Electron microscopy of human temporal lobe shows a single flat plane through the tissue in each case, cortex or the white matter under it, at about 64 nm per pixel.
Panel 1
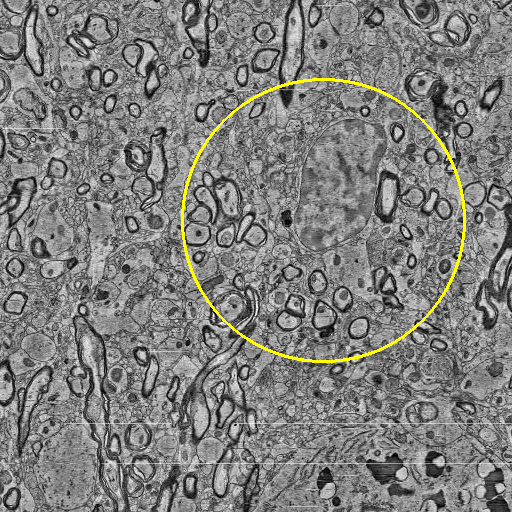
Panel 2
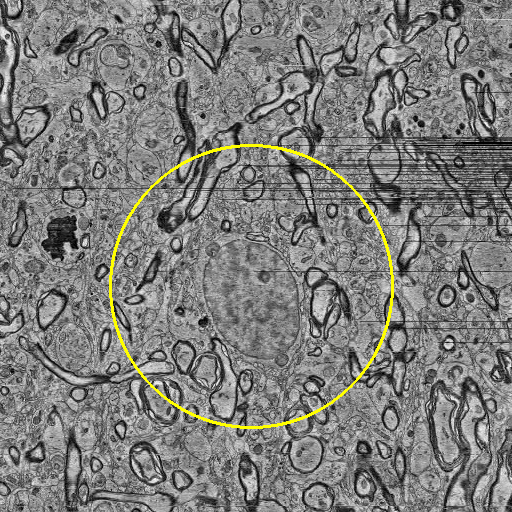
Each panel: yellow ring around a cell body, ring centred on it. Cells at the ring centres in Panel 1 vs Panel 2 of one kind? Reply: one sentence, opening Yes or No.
No, Panel 1 and Panel 2 have cells of two kinds at the ring centres.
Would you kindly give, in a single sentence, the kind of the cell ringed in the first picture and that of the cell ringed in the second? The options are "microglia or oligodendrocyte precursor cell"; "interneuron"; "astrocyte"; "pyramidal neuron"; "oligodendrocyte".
The second cell is an oligodendrocyte, and the first cell is a microglial cell or oligodendrocyte precursor cell.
